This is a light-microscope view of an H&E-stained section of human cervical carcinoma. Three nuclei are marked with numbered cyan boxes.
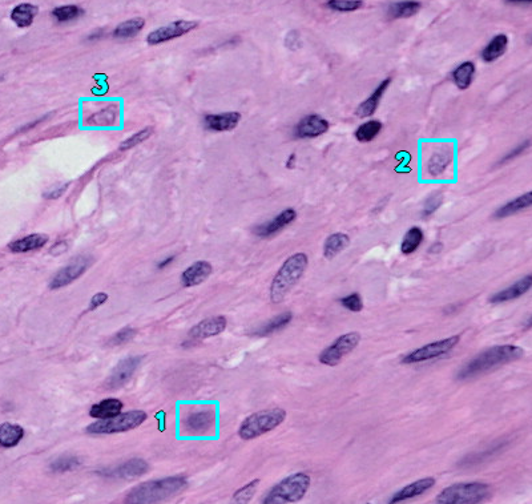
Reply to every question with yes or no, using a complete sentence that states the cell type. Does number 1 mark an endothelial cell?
No, in terms of cell type, cell 1 is a fibroblast, not an endothelial cell.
